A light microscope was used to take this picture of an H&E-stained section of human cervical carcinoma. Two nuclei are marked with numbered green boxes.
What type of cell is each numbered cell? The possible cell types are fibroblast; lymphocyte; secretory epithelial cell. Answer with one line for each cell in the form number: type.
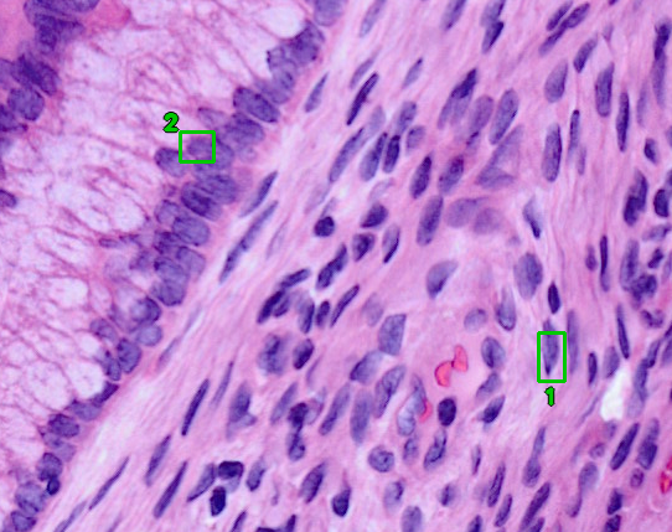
1: fibroblast
2: secretory epithelial cell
